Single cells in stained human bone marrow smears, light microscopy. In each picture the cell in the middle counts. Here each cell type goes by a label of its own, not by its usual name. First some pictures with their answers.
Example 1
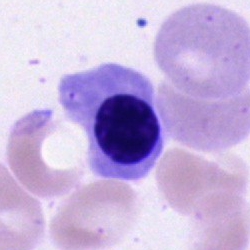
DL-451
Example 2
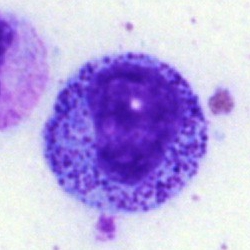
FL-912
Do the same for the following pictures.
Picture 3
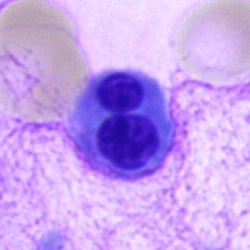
DL-451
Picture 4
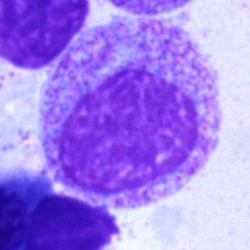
FL-912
